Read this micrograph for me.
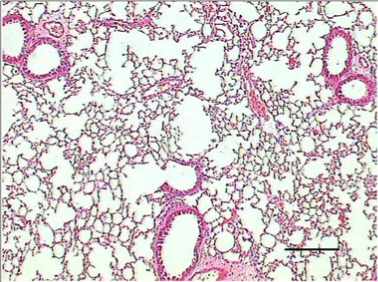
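This is lung parenchyma, a lace of thin pink alveolar walls dotted with small purple nuclei around many air spaces. Several round, thick-walled airways with a lining of closely packed cells sit among the alveoli, some with a small vessel beside them. In places the alveolar walls are broken and the air spaces run together into wide, irregular spaces. Between these foci lie patches of small, regular alveoli that look normal.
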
